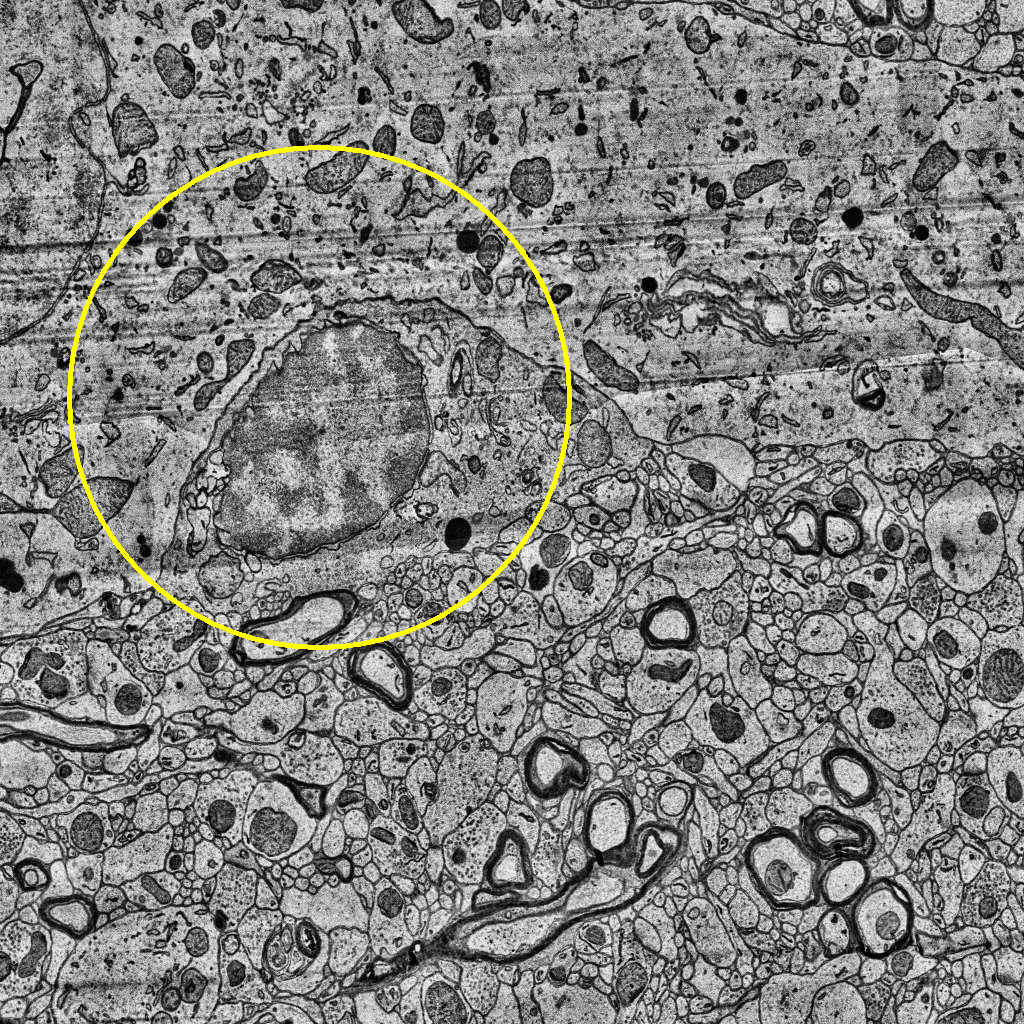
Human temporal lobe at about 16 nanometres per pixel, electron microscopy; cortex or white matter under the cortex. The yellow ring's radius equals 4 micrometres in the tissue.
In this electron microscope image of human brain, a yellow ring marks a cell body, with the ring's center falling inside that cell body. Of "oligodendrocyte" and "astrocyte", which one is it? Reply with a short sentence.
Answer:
It is an oligodendrocyte at the center of the ring.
